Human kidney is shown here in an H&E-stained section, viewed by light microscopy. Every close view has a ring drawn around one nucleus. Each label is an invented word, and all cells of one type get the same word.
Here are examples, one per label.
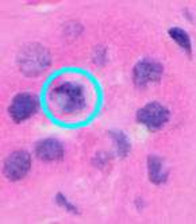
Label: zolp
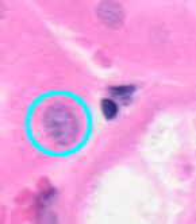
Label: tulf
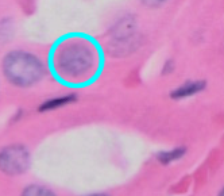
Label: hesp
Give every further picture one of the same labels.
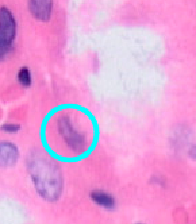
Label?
tulf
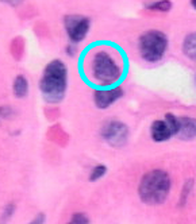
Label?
hesp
